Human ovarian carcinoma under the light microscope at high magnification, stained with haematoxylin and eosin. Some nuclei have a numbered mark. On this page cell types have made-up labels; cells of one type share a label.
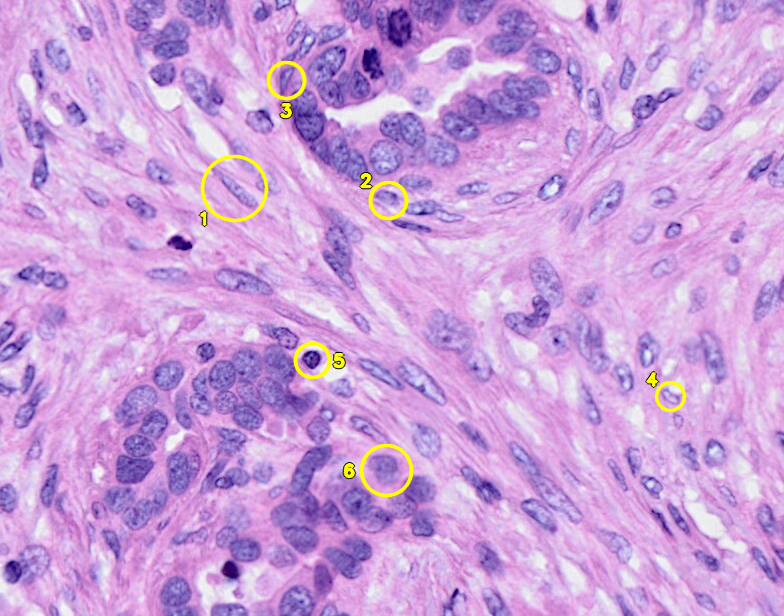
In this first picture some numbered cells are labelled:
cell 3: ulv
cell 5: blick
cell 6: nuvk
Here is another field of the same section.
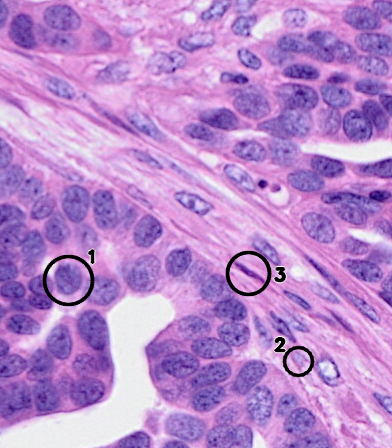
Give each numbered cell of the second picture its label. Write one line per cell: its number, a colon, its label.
1: nuvk
2: ulv
3: ulv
